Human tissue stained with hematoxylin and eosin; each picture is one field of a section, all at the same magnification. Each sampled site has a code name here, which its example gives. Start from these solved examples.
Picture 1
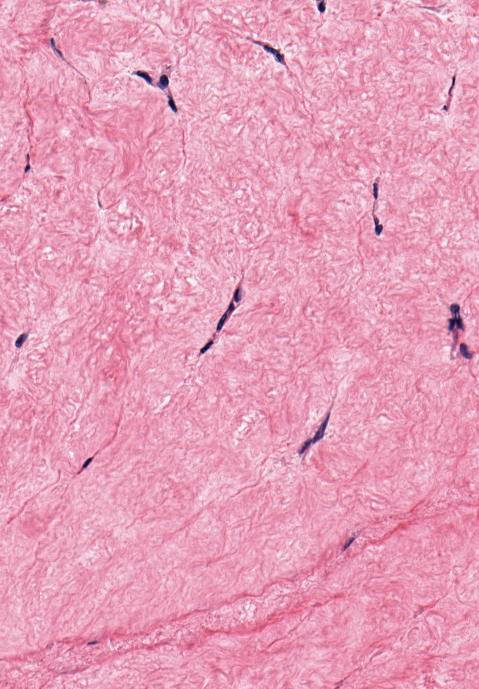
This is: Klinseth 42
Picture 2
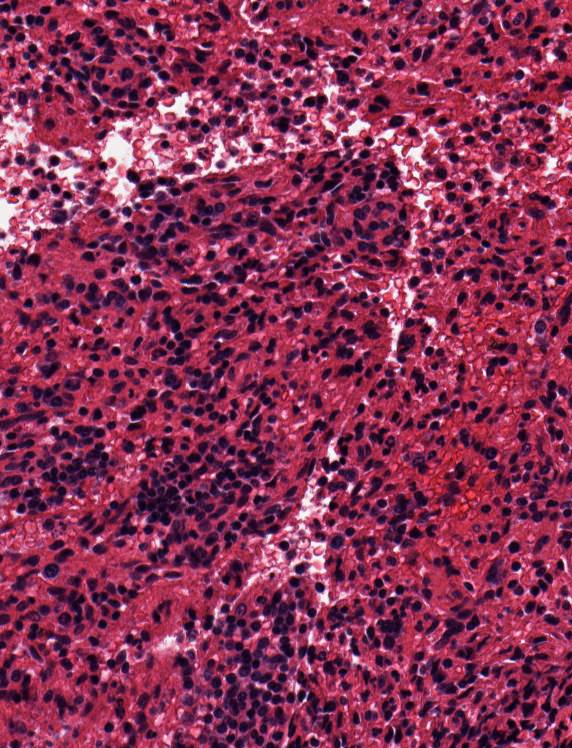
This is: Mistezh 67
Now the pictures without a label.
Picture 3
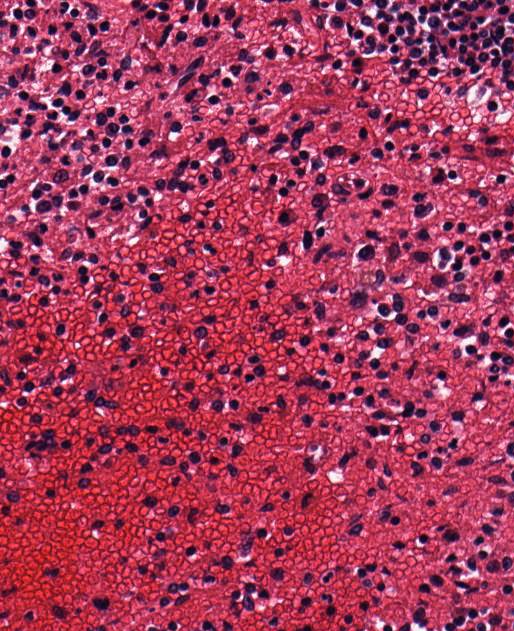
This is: Mistezh 67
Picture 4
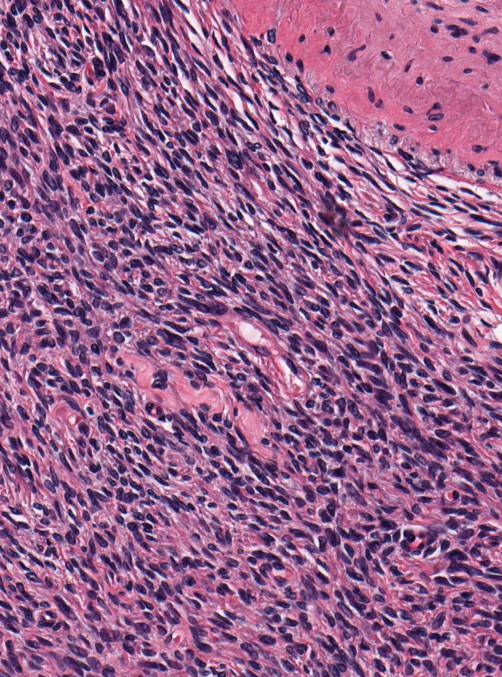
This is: Klinseth 42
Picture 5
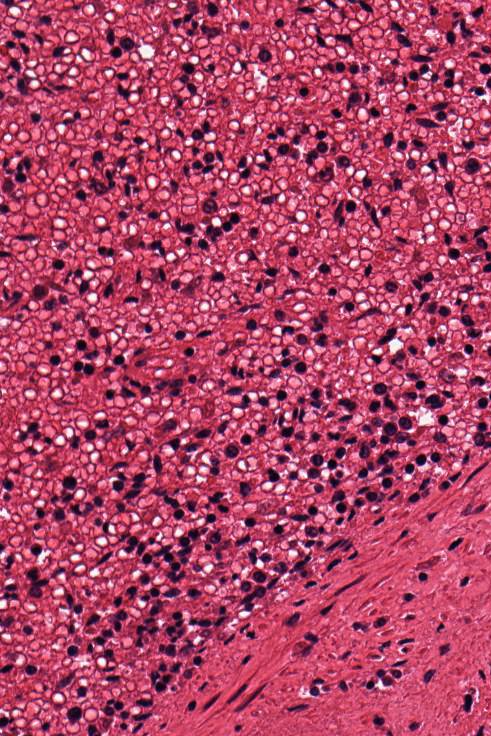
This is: Mistezh 67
